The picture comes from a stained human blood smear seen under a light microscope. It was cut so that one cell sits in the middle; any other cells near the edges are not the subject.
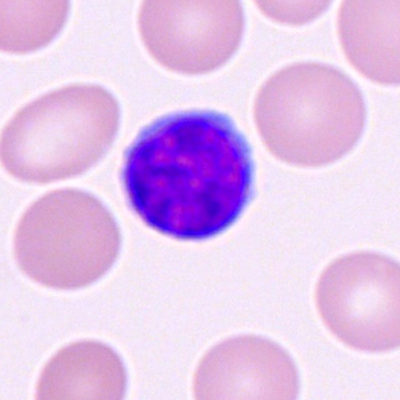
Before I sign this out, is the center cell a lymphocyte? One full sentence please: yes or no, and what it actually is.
Yes, the cell found at the centre of the crop is a lymphocyte.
